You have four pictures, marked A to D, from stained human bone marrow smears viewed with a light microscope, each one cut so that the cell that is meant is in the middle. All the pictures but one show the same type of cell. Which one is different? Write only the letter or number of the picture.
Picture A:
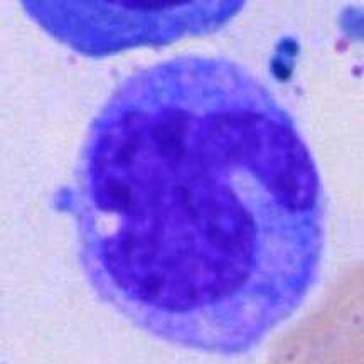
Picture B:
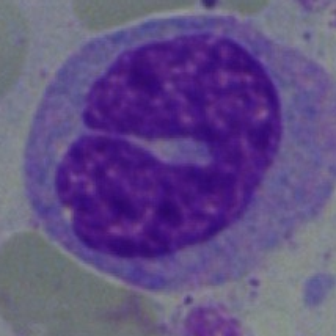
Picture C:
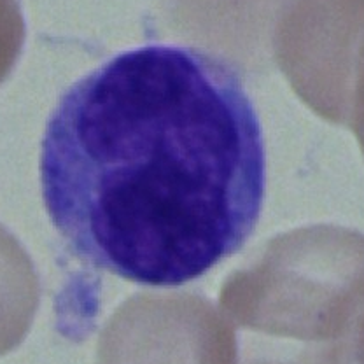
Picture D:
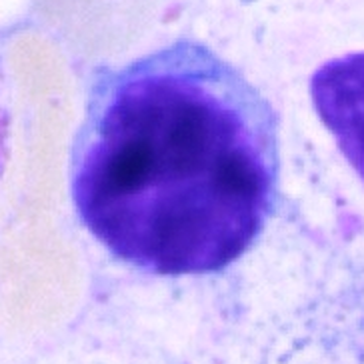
D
